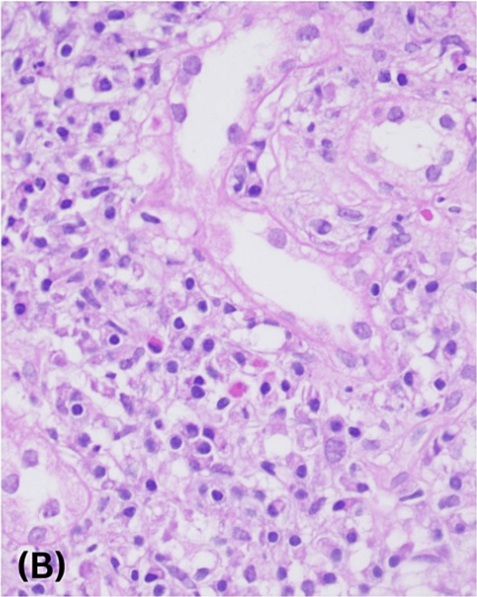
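This is kidney interstitium crowded with chronic inflammatory cells lying between tubules. Many are plasma cells, round with an off-center nucleus and ample purple cytoplasm, mixed with small dark round lymphocytes and paler histiocytes. A few cells with bright red cytoplasmic granules, the eosinophils, are scattered among them.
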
